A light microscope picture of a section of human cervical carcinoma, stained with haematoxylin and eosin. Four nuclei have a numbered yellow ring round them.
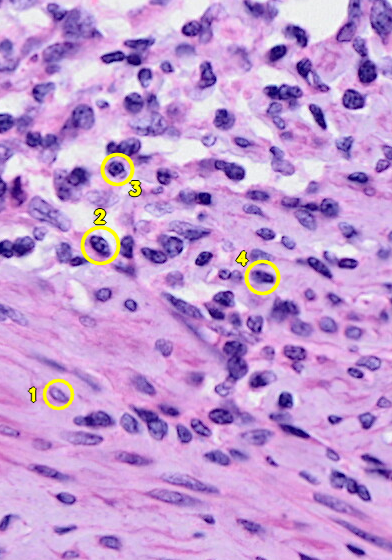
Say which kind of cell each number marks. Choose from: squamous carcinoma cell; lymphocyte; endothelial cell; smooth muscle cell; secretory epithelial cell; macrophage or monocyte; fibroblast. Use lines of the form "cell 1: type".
cell 1: smooth muscle cell
cell 2: lymphocyte
cell 3: lymphocyte
cell 4: lymphocyte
